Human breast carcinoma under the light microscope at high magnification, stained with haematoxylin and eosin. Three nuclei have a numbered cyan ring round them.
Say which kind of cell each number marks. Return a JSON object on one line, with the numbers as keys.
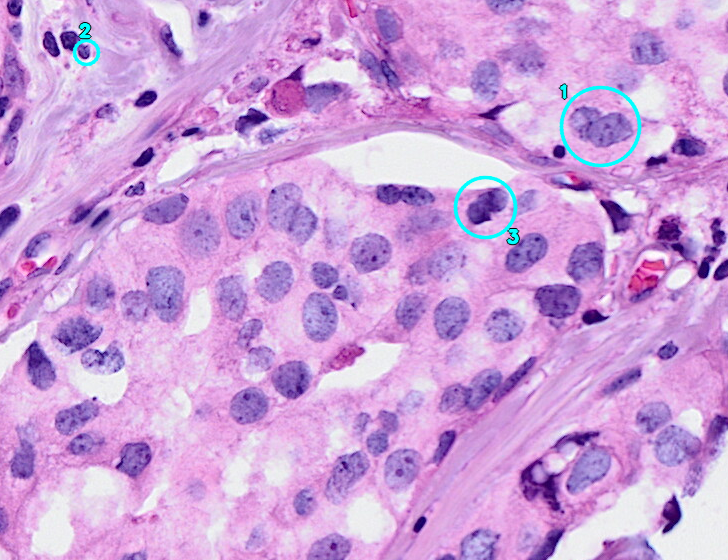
{"1": "carcinoma cell", "2": "lymphocyte", "3": "carcinoma cell"}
